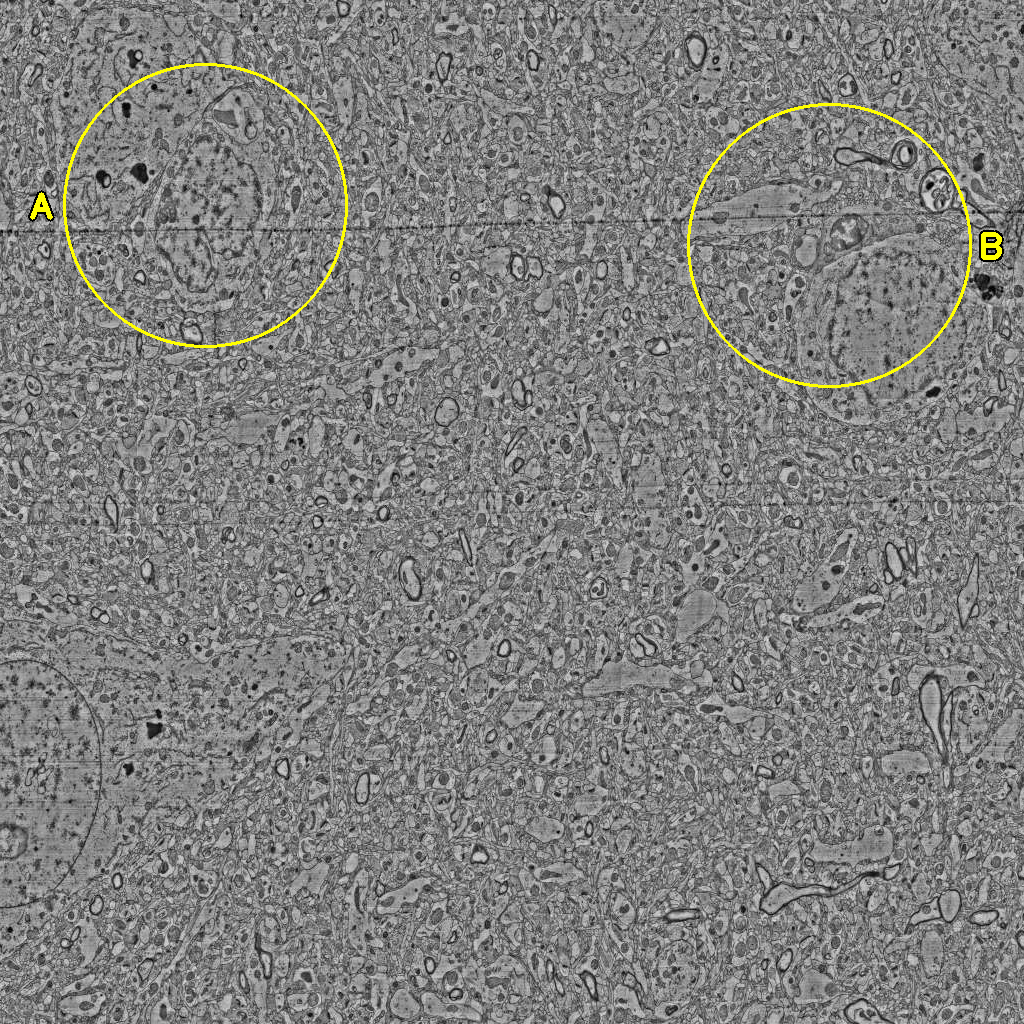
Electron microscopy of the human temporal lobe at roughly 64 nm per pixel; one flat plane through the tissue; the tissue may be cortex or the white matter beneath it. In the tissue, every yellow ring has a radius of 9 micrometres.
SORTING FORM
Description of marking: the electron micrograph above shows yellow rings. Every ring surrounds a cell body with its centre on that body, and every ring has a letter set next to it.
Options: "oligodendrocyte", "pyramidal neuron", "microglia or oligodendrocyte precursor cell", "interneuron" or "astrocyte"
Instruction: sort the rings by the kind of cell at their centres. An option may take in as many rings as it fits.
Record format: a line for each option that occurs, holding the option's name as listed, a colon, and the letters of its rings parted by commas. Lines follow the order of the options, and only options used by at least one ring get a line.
oligodendrocyte: B
interneuron: A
